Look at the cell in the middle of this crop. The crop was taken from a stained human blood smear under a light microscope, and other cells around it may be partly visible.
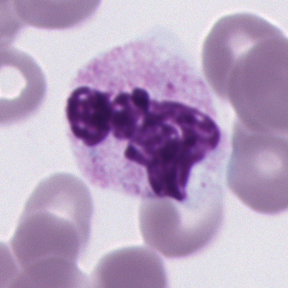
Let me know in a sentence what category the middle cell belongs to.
Regarding the central cell, it is a segmented neutrophil.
